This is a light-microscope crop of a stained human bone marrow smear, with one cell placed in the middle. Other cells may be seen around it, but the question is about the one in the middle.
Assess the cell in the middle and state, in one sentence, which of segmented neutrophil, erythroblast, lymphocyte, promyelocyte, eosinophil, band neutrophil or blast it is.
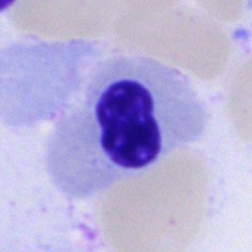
For this crop, the cell in the middle is an erythroblast.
